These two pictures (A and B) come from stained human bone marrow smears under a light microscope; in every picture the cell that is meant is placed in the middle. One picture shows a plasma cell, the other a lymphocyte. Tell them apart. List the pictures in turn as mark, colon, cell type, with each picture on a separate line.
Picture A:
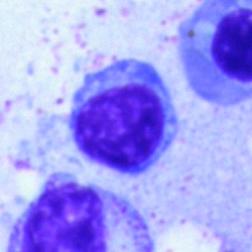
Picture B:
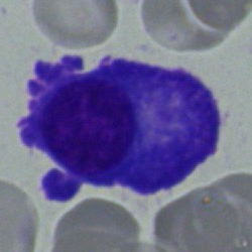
A: lymphocyte
B: plasma cell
